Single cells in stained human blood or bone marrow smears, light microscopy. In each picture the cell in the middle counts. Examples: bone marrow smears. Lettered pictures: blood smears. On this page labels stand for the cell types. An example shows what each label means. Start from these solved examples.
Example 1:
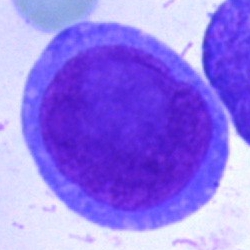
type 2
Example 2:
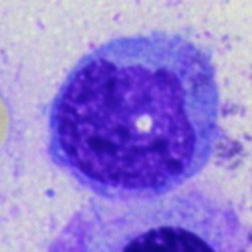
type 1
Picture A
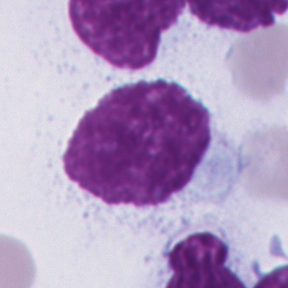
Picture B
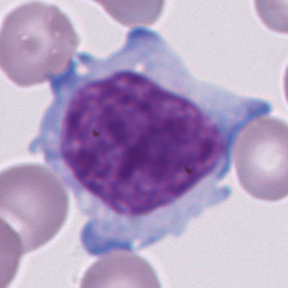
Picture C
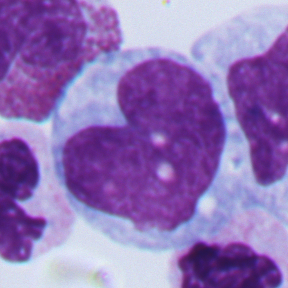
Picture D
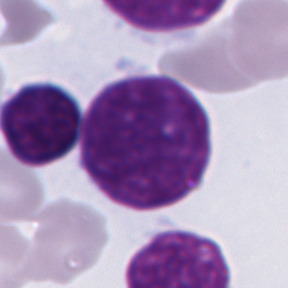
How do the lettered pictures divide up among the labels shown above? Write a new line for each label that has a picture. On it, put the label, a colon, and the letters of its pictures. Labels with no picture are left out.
type 2: A, B, D
type 1: C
